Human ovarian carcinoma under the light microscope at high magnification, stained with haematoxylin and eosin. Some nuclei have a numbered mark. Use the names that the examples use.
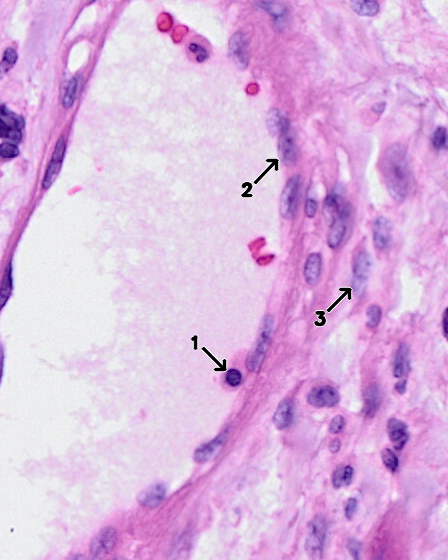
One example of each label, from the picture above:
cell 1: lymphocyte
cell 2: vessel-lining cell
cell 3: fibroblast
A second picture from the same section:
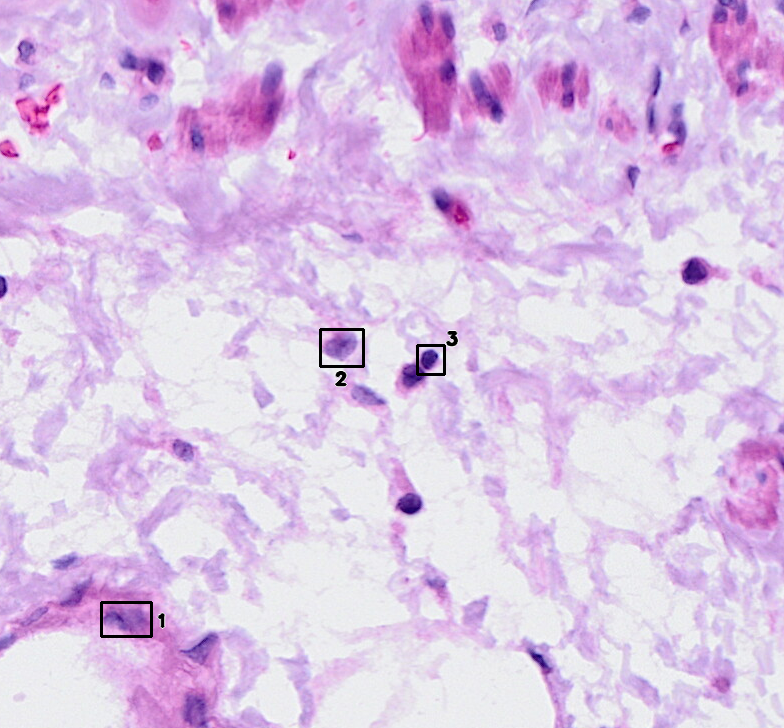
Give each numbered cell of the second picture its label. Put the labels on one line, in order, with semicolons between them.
vessel-lining cell; fibroblast; lymphocyte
